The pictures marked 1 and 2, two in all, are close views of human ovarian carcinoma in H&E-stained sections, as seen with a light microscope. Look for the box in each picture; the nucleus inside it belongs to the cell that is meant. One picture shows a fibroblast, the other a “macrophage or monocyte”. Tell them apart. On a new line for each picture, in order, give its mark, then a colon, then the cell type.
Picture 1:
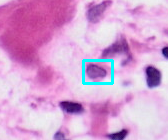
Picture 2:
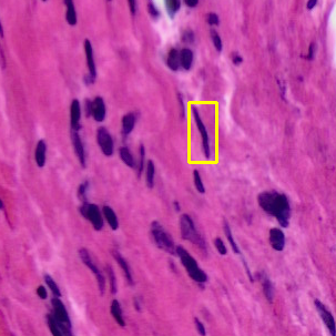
1: macrophage or monocyte
2: fibroblast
